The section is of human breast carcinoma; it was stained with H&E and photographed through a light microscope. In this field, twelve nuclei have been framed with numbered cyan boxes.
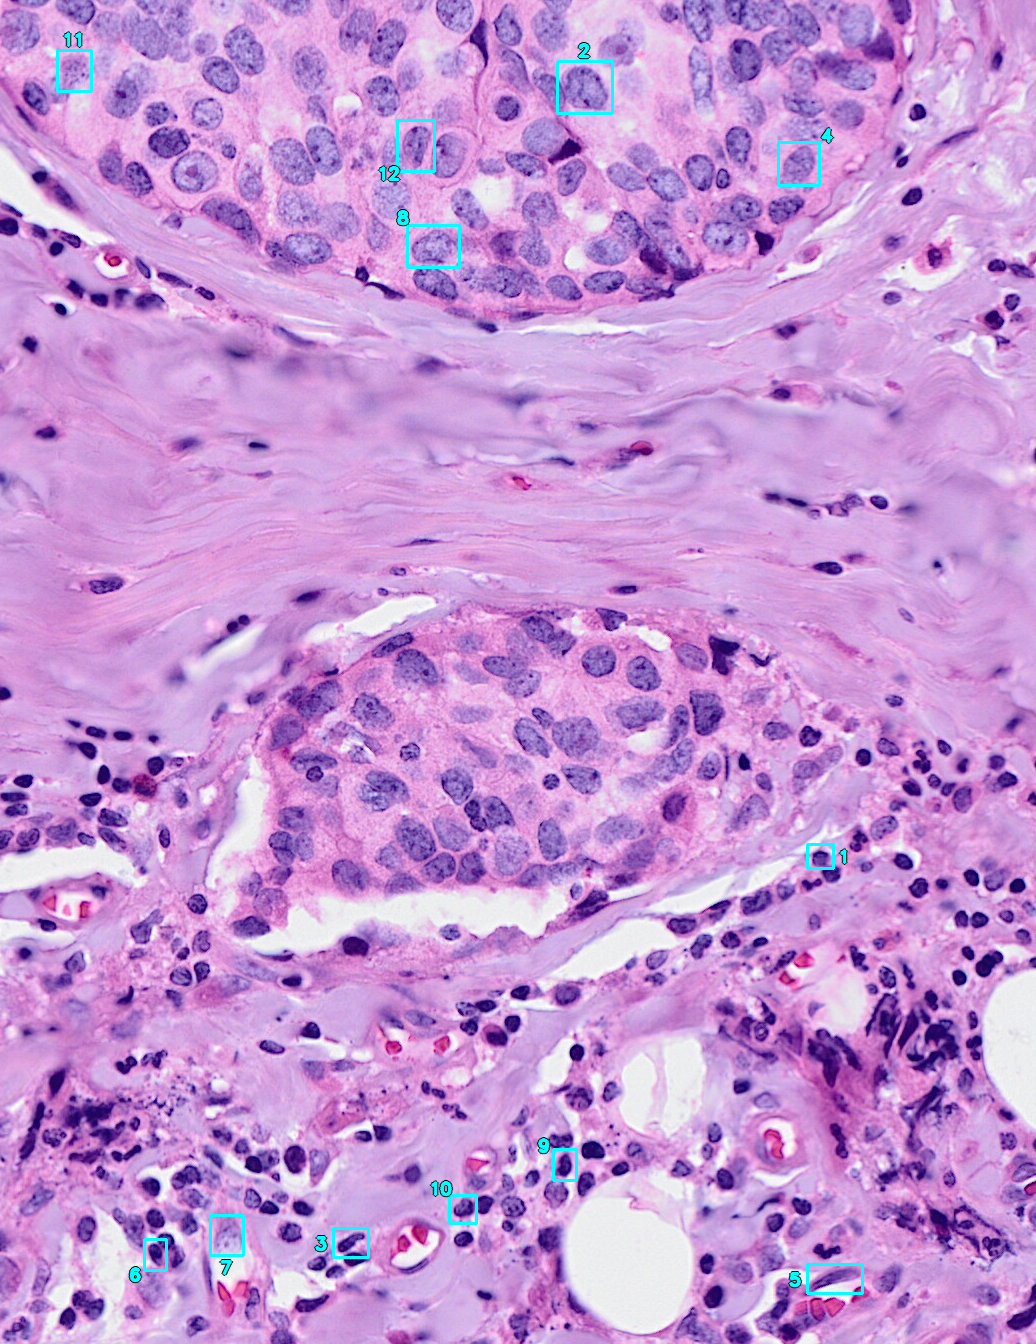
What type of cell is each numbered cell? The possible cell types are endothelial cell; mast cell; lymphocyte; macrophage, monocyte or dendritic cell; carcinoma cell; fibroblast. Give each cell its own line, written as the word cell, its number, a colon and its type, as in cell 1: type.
cell 1: lymphocyte
cell 2: carcinoma cell
cell 3: lymphocyte
cell 4: carcinoma cell
cell 5: endothelial cell
cell 6: lymphocyte
cell 7: endothelial cell
cell 8: carcinoma cell
cell 9: lymphocyte
cell 10: lymphocyte
cell 11: carcinoma cell
cell 12: carcinoma cell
